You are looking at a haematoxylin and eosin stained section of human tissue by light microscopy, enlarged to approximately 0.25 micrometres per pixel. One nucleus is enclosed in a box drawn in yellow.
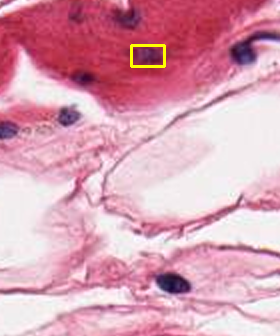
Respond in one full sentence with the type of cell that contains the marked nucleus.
It is to a skeletal muscle fibre that the marked nucleus belongs.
